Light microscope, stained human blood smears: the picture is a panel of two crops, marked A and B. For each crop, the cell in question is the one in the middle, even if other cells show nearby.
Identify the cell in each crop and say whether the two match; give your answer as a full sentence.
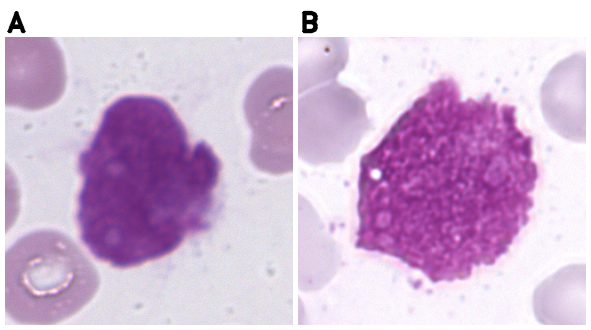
Yes, it is smudge cells that both crops show.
